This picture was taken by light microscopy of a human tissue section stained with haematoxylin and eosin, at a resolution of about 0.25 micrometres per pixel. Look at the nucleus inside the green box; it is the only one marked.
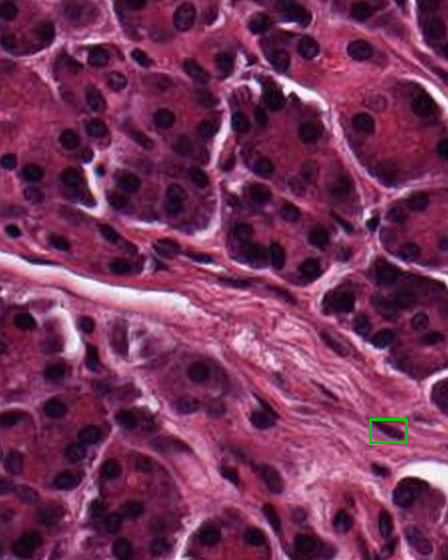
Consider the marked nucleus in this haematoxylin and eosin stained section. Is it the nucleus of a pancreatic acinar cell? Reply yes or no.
no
